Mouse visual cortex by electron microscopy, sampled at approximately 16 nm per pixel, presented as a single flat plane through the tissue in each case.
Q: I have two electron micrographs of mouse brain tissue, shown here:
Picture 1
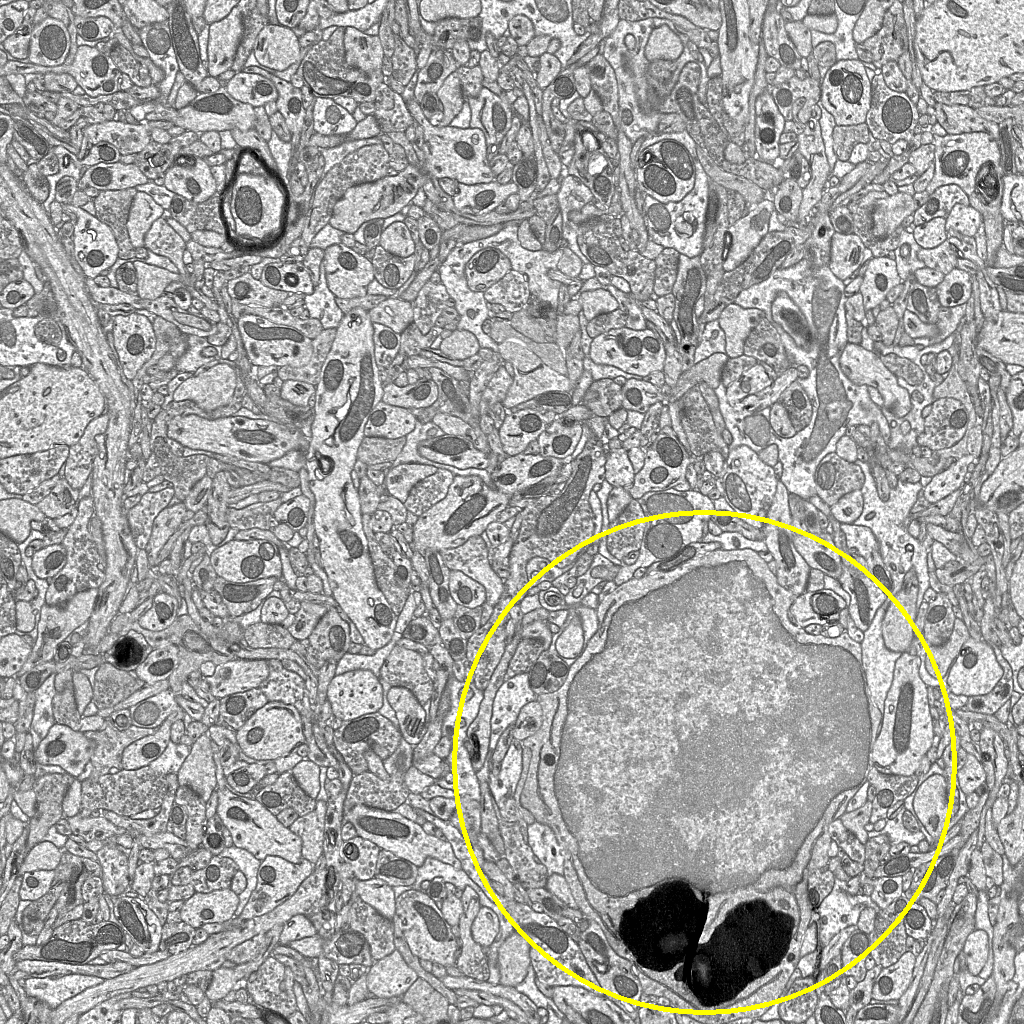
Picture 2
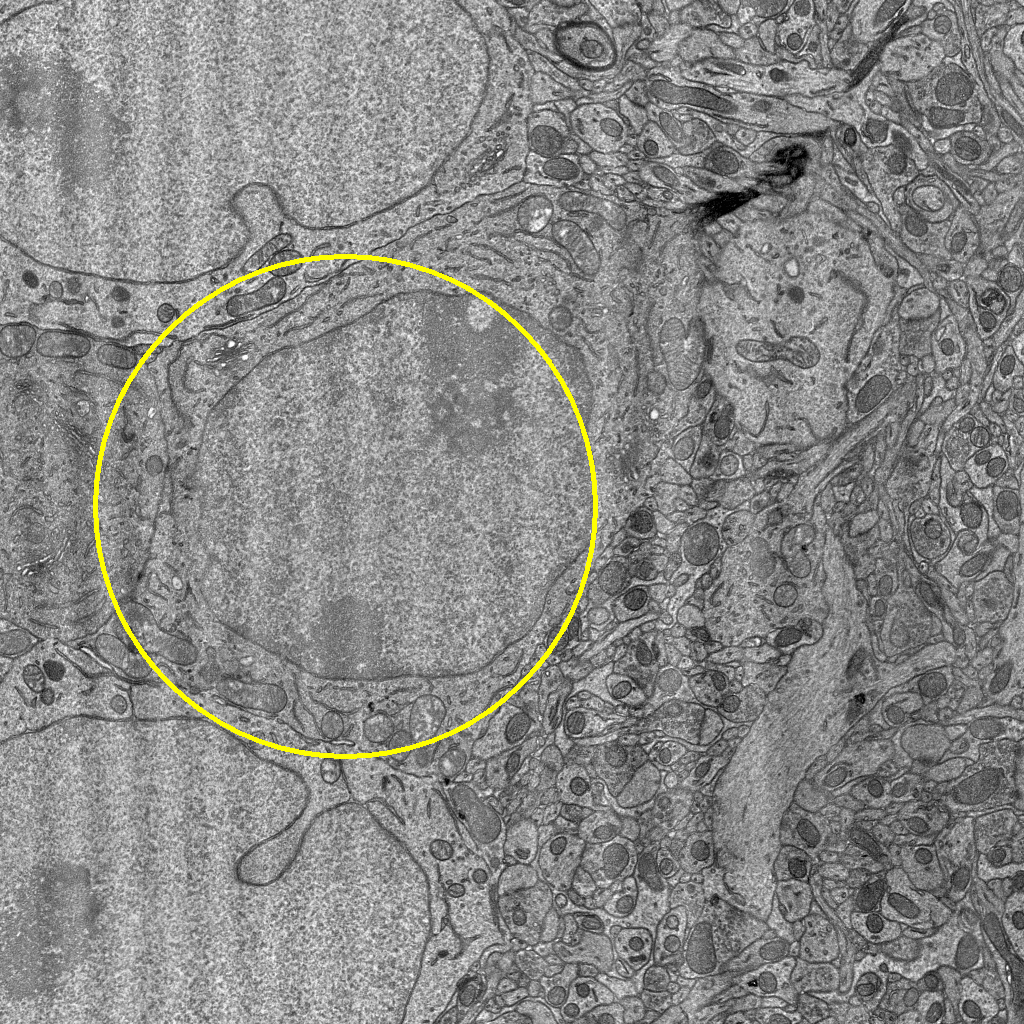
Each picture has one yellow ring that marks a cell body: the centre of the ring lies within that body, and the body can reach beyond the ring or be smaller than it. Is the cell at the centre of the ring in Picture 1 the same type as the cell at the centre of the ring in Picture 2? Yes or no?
no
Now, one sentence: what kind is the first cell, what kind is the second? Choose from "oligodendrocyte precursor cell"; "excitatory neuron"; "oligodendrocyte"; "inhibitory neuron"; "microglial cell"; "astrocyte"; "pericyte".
Of the two, the first cell is a microglial cell and the second cell is an oligodendrocyte.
